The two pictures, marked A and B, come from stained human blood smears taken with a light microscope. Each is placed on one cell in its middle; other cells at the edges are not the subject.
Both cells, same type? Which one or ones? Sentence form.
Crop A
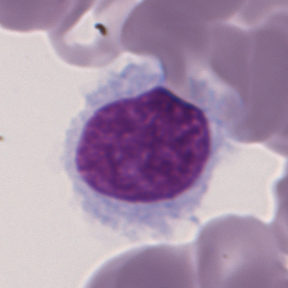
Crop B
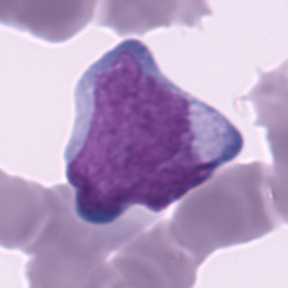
No, cell A is a hairy cell, and cell B is a blast.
